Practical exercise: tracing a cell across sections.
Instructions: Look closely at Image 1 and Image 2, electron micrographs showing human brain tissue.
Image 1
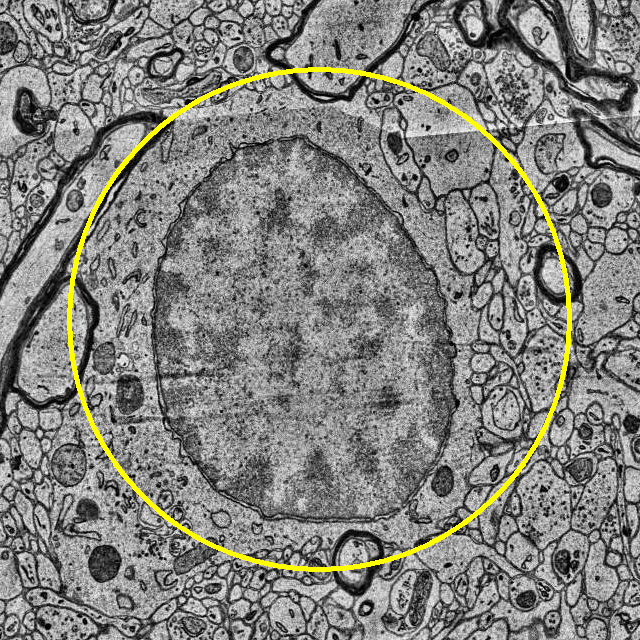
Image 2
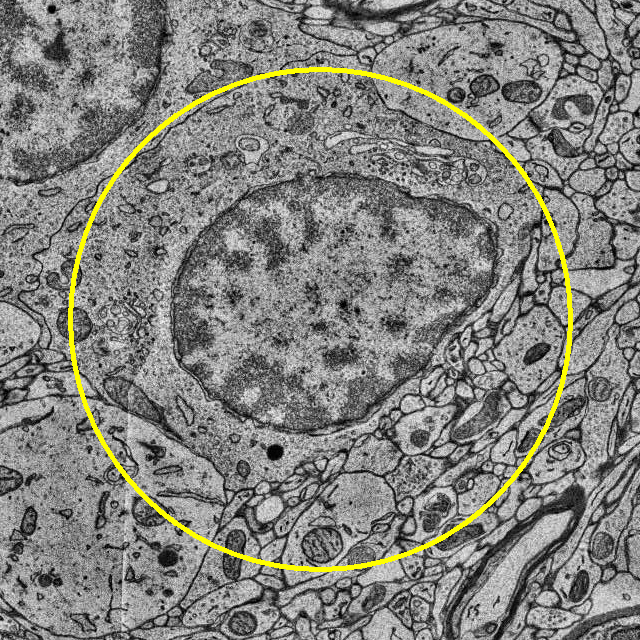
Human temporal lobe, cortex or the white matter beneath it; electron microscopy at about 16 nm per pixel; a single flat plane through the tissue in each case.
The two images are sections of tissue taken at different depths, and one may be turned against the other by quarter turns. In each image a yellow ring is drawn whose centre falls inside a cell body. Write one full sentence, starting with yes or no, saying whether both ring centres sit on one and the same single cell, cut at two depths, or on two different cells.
No, these yellow rings each mark a separate cell.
